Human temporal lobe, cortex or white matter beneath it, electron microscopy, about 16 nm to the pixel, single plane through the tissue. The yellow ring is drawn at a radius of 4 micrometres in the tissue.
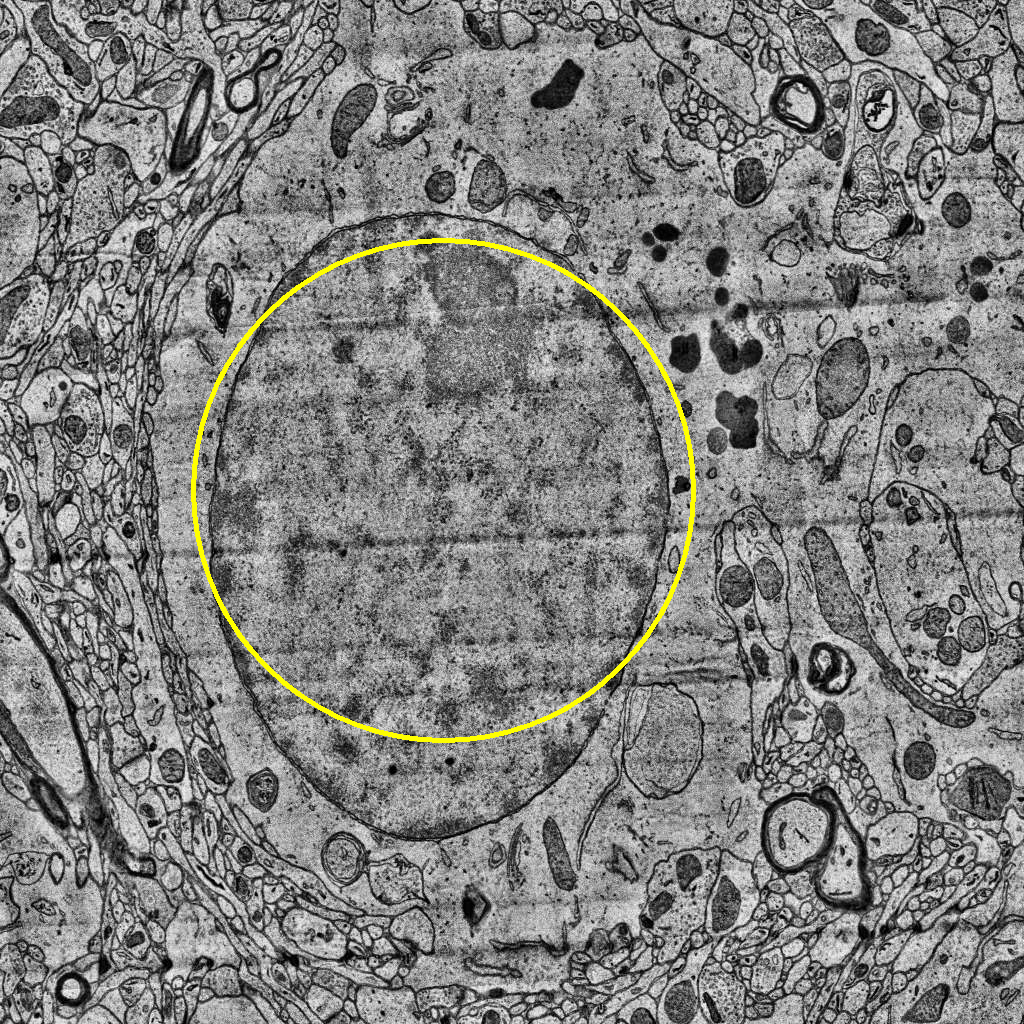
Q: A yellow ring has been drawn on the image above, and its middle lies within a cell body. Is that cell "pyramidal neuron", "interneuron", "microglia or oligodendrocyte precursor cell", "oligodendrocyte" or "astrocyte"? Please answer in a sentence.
The ring's middle lies in the cell body of an astrocyte.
